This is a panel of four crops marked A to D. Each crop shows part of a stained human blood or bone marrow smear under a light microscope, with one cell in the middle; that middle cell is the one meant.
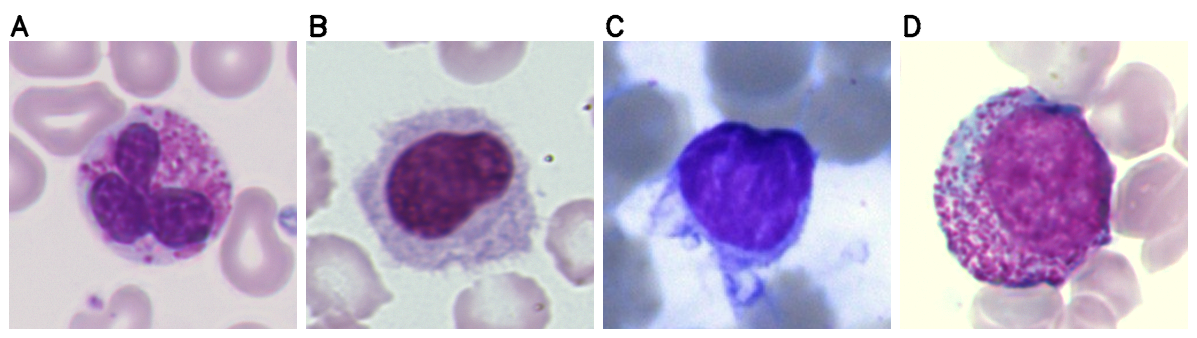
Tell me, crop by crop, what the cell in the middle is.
A: eosinophil
B: hairy cell
C: hairy cell
D: promyelocyte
